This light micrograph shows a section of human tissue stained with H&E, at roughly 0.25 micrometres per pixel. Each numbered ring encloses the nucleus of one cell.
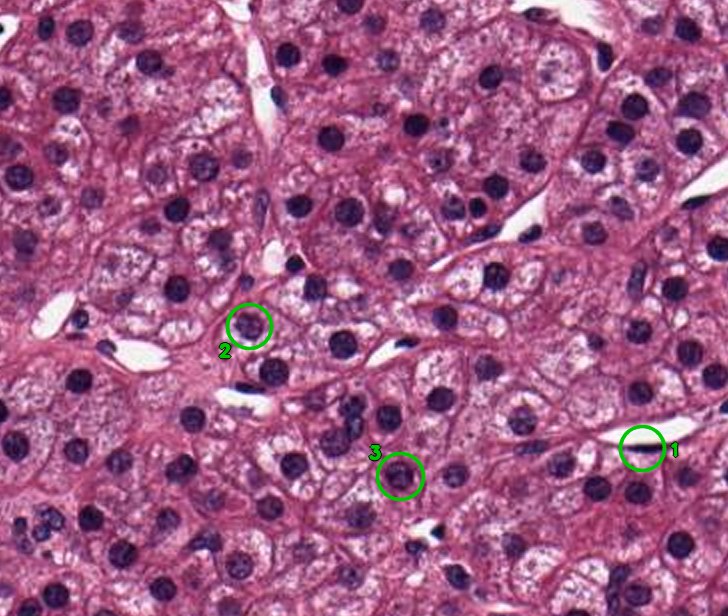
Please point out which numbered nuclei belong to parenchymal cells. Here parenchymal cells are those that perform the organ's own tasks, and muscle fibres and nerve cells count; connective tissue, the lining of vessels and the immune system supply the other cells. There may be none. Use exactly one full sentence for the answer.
What the nuclei numbered 2 and 3 belong to are parenchymal cells.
